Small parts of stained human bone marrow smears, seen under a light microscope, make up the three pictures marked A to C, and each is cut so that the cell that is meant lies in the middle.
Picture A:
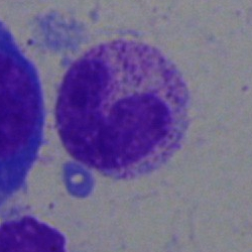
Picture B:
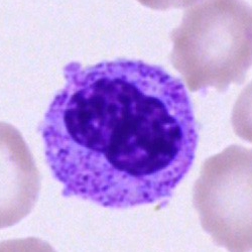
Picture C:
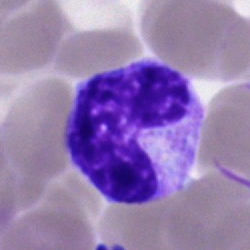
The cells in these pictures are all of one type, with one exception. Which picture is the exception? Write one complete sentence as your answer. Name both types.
The different one is picture A; it shows a band neutrophil, whereas all the others show metamyelocytes.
